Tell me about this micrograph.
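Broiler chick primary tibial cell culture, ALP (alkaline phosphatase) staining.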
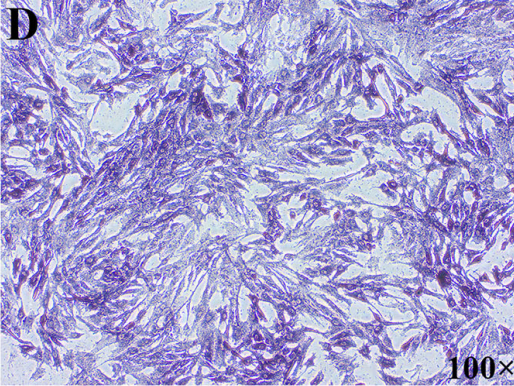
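Cells are spindle-shaped to stellate or polygonal, with slender extensions, and overlap one another in crowded streams and whorls across the field. The purple staining is uneven, darker in the cell bodies and some clustered regions, lighter in thin processes. Paler, weakly stained areas appear between the denser groups of cells. Nuclei are not sharply distinguished from the stained cytoplasm. Nearly all cells in the field carry some purple colour.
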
